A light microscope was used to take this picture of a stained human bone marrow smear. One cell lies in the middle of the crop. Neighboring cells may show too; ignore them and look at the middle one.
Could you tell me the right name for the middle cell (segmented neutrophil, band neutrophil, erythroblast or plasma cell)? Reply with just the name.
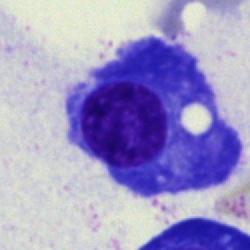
plasma cell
